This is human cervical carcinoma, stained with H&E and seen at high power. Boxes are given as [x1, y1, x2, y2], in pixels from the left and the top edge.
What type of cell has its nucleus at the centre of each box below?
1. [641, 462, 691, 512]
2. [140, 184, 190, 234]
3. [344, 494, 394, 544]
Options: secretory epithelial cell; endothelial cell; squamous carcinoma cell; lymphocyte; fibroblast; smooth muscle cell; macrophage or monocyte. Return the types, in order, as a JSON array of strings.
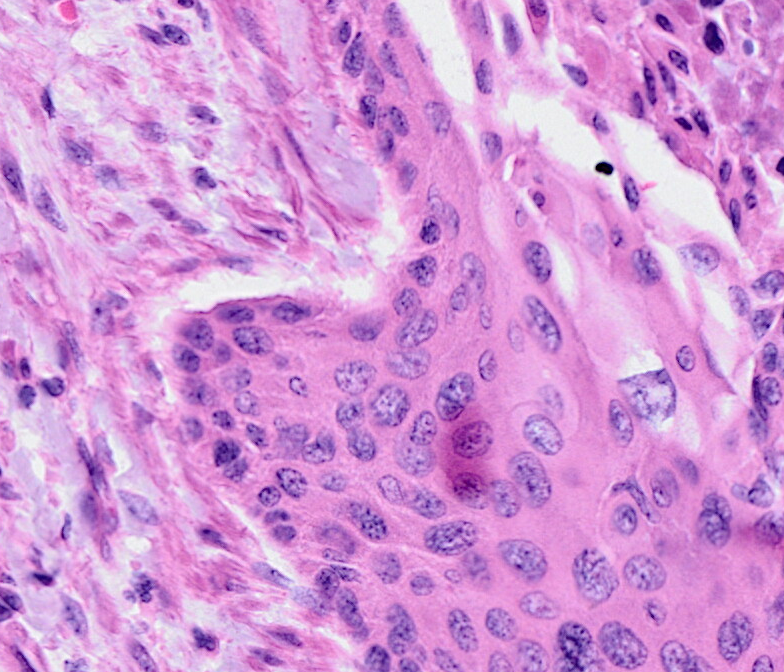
["squamous carcinoma cell", "fibroblast", "squamous carcinoma cell"]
